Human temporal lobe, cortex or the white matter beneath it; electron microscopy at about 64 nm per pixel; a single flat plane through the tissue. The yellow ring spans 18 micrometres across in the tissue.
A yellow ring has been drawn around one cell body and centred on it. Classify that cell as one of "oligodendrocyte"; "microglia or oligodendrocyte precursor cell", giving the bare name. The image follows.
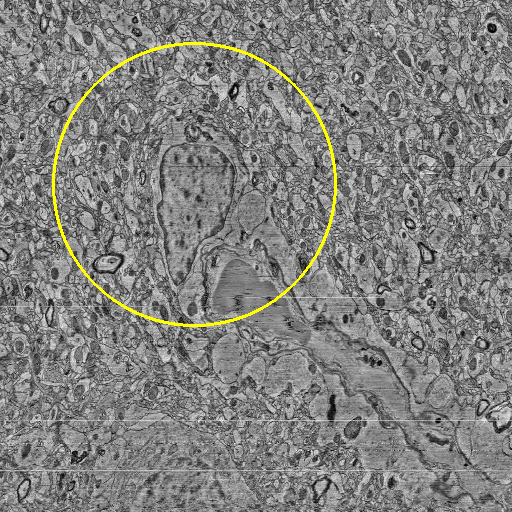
microglia or oligodendrocyte precursor cell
